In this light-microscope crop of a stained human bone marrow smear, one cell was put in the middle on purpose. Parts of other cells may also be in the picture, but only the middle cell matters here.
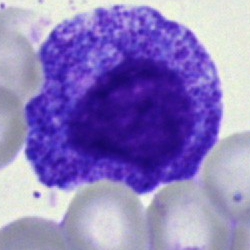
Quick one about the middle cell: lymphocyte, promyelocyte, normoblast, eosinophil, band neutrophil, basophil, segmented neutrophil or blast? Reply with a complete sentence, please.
Within this crop, a promyelocyte occupies the central position.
